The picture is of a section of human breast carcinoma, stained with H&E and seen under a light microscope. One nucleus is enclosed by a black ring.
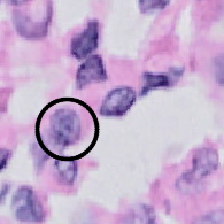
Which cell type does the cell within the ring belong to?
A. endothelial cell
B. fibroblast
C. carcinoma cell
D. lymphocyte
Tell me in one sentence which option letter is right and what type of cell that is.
Of the options offered, C is correct, as the cell within the ring is a carcinoma cell.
